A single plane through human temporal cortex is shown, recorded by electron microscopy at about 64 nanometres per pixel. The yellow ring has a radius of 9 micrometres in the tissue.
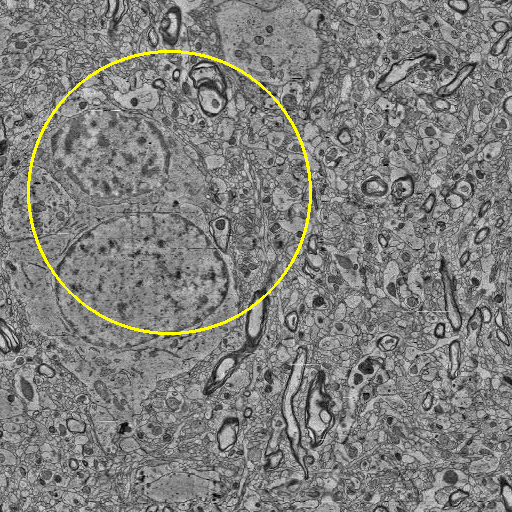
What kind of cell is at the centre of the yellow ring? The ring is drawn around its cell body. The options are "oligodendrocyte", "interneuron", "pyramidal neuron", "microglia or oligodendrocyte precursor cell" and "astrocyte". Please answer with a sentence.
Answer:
The yellow ring marks the cell body of an oligodendrocyte.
